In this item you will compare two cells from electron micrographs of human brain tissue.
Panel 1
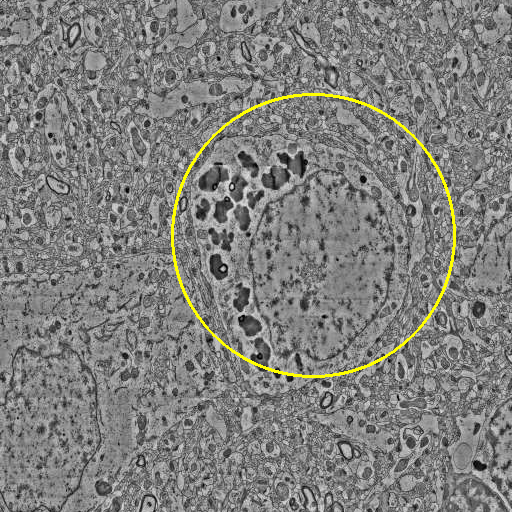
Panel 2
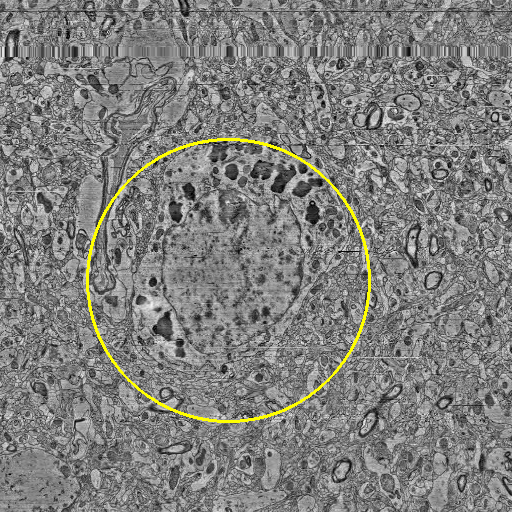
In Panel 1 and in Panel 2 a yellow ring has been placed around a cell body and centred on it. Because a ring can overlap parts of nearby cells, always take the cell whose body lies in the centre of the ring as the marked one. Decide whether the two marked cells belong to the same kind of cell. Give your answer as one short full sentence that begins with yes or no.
Yes, the two marked cells belong to the same kind of cell.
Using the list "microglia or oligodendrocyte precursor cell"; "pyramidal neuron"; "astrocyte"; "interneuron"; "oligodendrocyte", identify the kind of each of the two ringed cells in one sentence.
Each one of the two ringed cells is an interneuron.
